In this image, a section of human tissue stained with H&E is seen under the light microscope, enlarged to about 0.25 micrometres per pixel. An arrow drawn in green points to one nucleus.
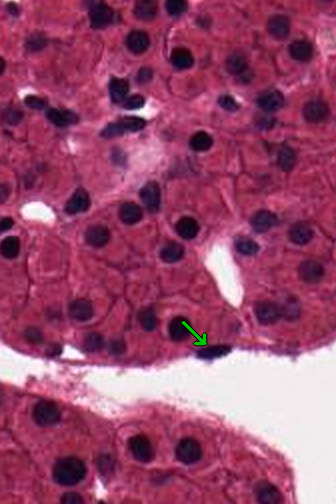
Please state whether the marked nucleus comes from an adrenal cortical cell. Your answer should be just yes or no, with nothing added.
no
